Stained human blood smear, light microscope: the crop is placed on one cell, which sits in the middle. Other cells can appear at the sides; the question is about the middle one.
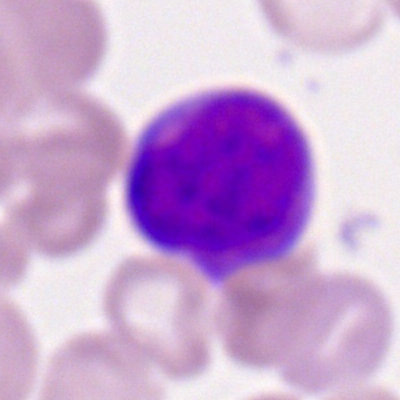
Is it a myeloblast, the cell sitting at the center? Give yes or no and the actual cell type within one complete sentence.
Yes, the middle cell in this crop is a myeloblast.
